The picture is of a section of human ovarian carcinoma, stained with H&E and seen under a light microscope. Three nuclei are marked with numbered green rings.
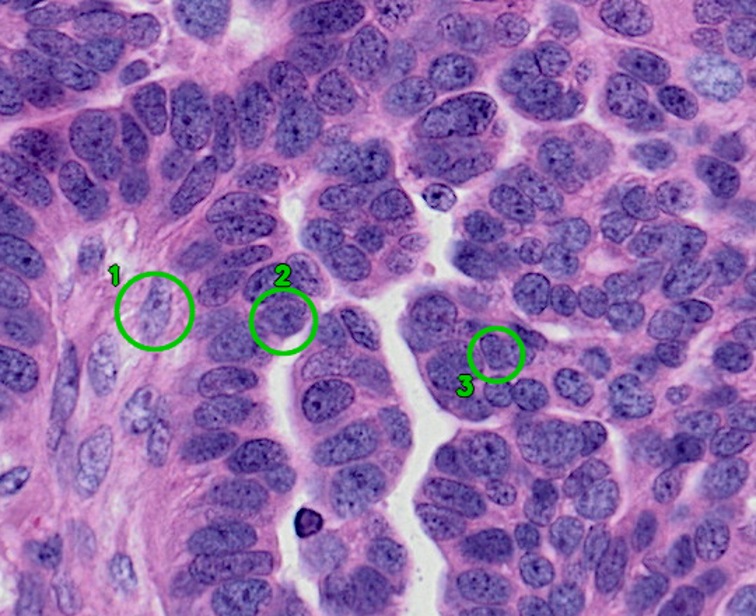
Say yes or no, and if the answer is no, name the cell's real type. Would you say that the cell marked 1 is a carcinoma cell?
No, it is a fibroblast.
